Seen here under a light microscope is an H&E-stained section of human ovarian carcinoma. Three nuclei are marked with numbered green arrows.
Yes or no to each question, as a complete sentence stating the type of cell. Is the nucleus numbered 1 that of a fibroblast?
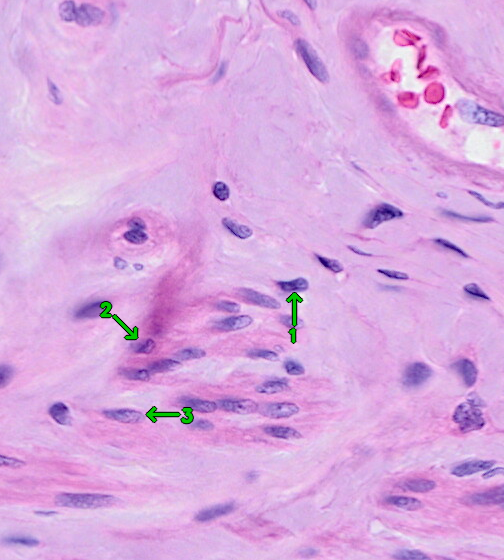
Yes, the number 1 belongs to a fibroblast.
